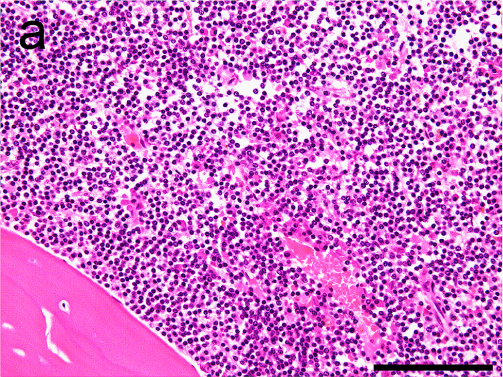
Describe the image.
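Bone marrow densely infiltrated by lymphocytic cells. The intertrabecular space is packed with a sheet of closely set small-to-medium-sized round cells with dark purple, round nuclei and scant cytoplasm. The infiltrate is monotonous, with little of the usual mixed marrow population and no fat spaces visible. Thin pink strands of stroma and small vessels with red blood cells run between the cells. In the lower left corner a smooth, homogeneous pink bony trabecula borders the infiltrate, the cells lying directly against its surface.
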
